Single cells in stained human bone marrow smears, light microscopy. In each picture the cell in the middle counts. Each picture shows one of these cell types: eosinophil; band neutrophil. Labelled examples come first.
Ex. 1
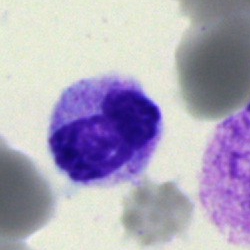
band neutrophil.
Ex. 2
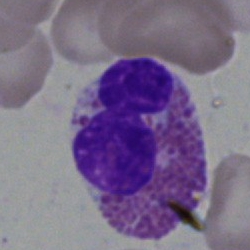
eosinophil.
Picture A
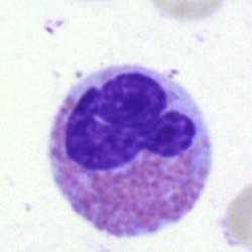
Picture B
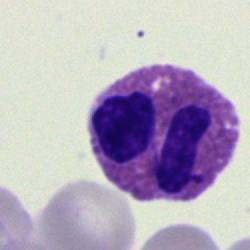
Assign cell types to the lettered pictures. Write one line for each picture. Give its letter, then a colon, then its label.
A: eosinophil.
B: eosinophil.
